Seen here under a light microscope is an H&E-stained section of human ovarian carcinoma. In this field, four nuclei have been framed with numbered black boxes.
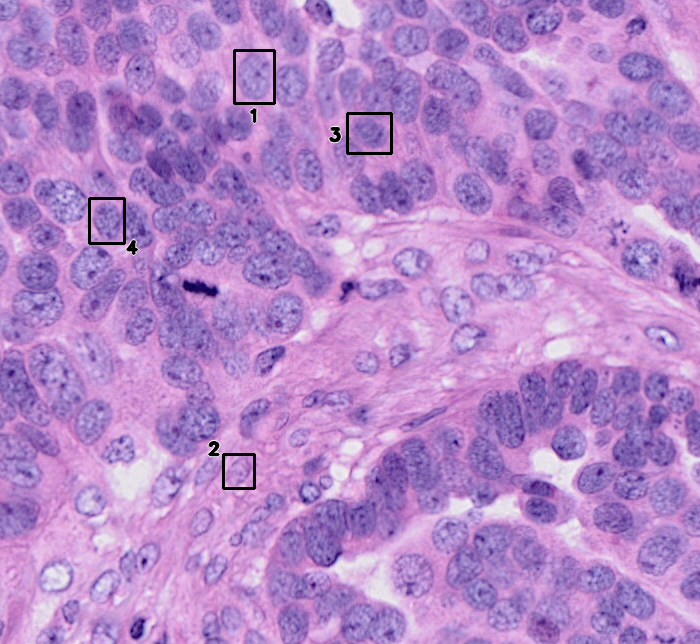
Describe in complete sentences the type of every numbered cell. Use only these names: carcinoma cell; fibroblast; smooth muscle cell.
Cells 1, 3 and 4 are carcinoma cells. Cell 2 is a fibroblast.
